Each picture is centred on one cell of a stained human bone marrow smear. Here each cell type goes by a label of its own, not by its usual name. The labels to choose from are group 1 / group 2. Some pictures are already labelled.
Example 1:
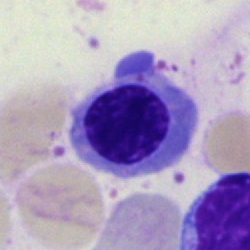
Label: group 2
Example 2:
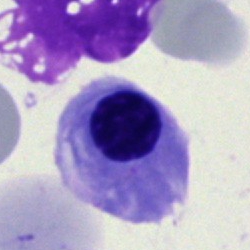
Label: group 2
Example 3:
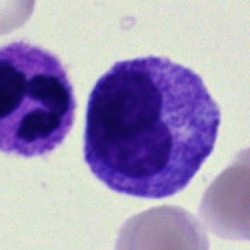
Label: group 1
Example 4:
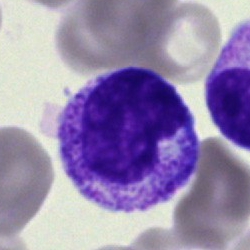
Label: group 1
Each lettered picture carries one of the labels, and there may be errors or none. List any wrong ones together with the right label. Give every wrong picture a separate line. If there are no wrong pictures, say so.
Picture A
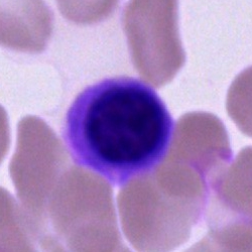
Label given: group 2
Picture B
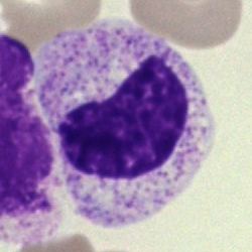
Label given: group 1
None of the labels needs changing.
